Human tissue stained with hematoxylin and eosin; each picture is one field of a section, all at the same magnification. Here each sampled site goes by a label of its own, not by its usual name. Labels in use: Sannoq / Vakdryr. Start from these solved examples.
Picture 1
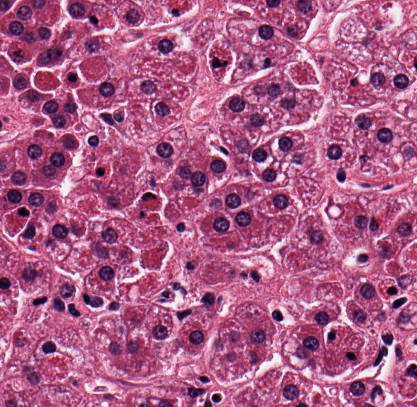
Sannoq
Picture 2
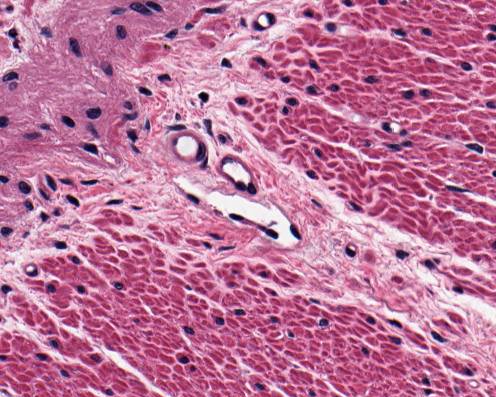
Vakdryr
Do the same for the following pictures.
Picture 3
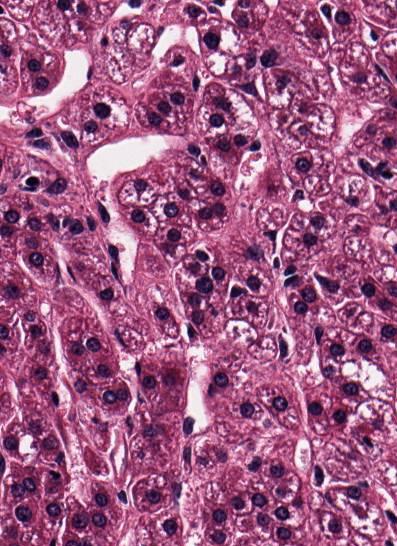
Sannoq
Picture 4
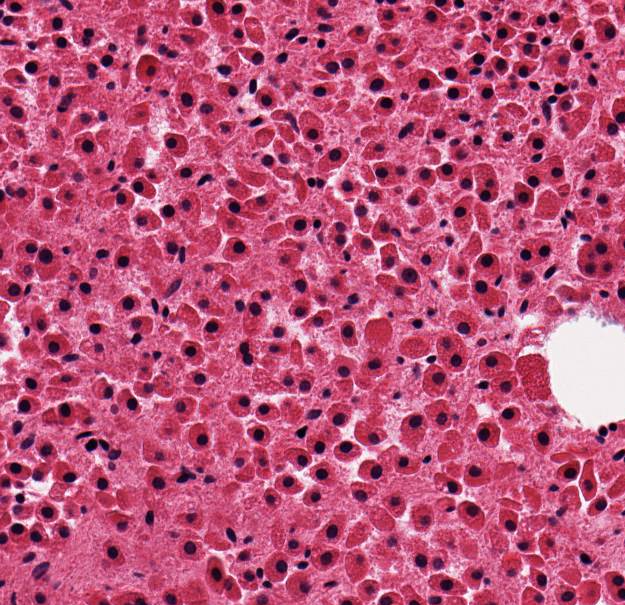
Sannoq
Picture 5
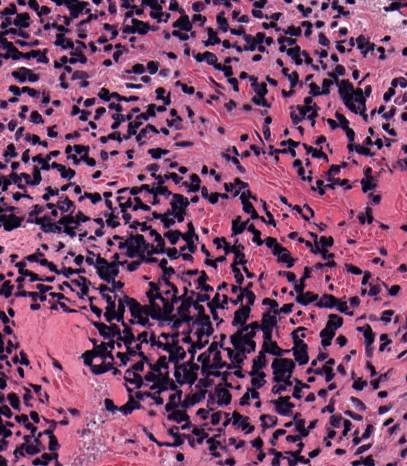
Vakdryr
